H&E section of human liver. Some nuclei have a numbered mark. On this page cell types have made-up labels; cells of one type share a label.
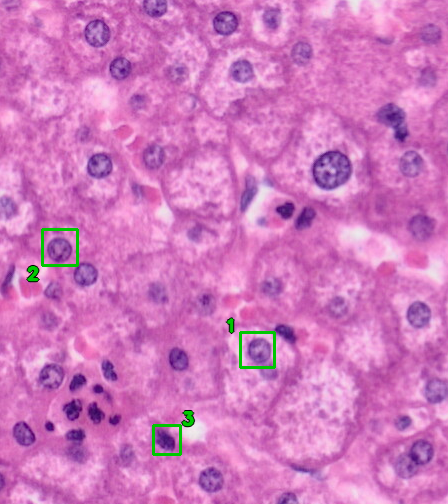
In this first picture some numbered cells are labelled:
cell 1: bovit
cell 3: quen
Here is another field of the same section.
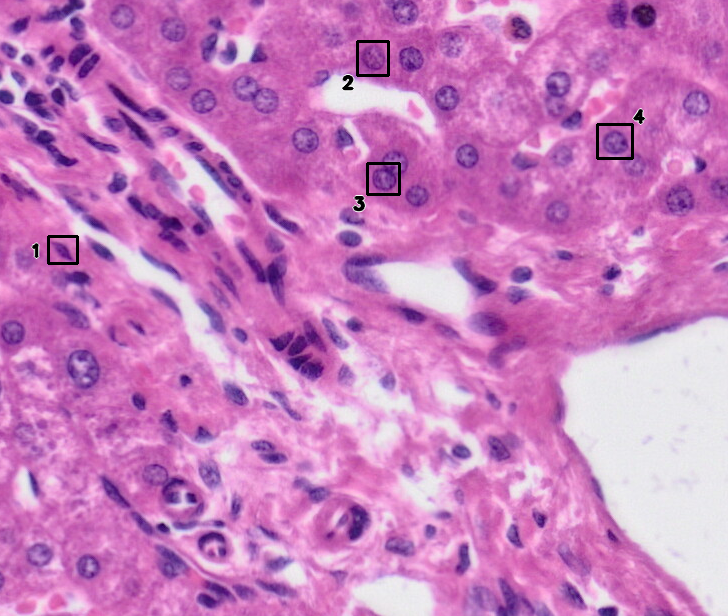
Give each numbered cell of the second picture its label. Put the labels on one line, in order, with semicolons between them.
quen; bovit; bovit; bovit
